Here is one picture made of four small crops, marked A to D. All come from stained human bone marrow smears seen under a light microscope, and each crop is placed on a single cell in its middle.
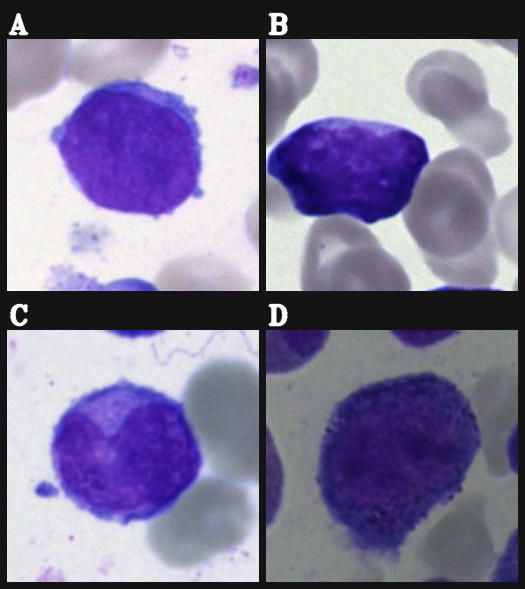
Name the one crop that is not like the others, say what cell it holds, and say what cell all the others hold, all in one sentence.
Of the crops, all show blasts save crop D, which shows a promyelocyte.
